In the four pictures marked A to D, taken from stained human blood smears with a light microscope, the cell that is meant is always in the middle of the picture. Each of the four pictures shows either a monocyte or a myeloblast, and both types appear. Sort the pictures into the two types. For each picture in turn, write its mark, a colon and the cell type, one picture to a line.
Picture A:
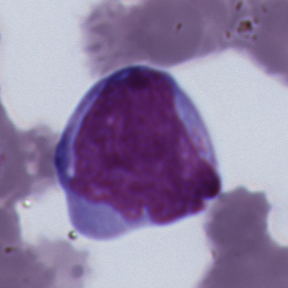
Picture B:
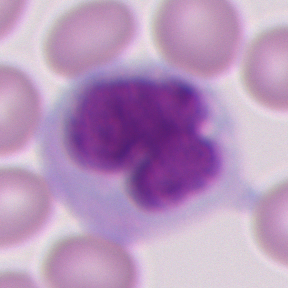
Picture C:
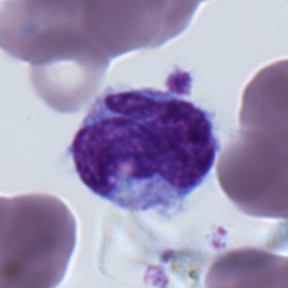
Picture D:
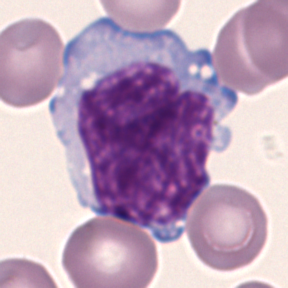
A: myeloblast
B: monocyte
C: monocyte
D: myeloblast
